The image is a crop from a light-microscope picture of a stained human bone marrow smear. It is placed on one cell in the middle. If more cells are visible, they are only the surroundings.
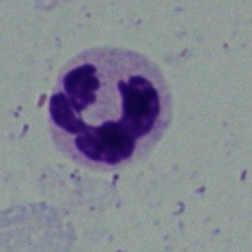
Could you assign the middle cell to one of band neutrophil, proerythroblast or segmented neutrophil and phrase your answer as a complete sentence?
Present in the middle of the crop is a segmented neutrophil.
